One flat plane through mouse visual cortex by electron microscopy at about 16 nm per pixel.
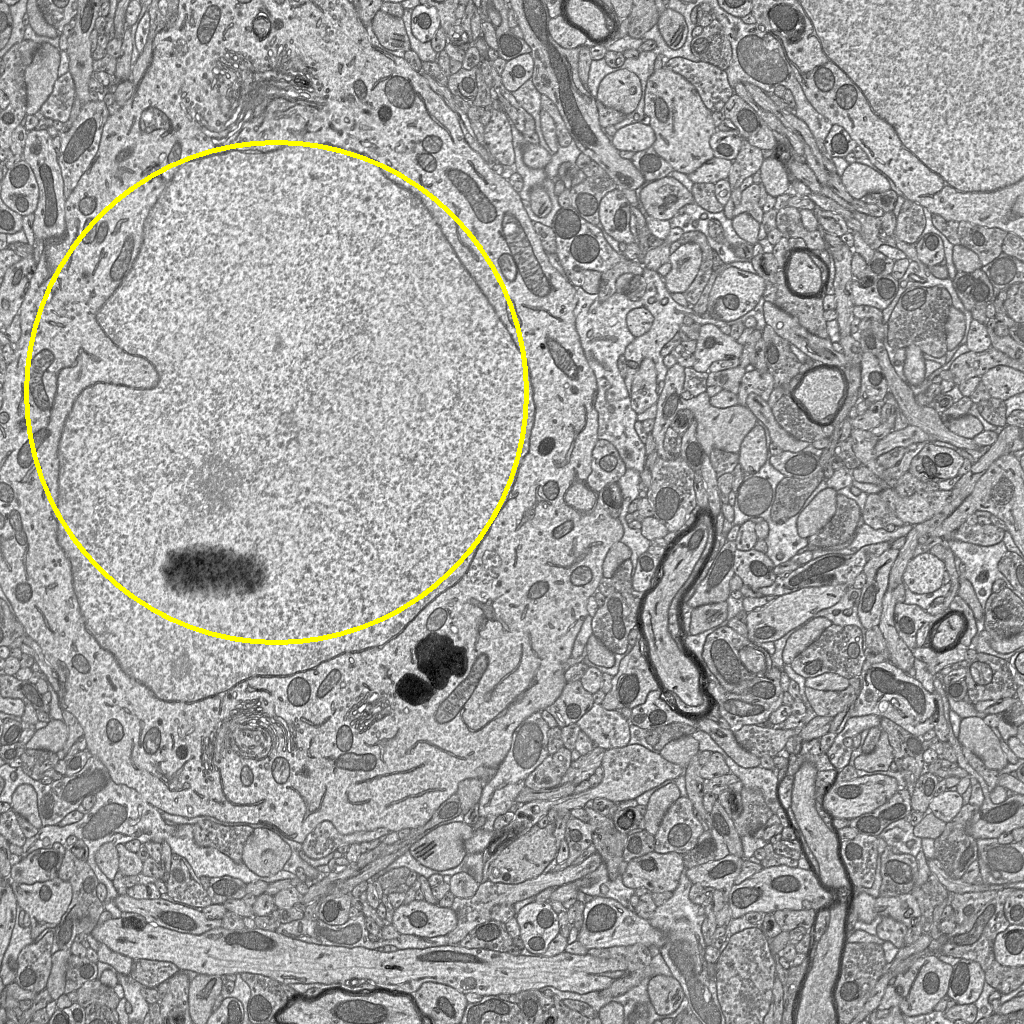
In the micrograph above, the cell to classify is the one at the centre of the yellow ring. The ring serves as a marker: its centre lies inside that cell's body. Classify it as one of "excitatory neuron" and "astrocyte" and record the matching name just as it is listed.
excitatory neuron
